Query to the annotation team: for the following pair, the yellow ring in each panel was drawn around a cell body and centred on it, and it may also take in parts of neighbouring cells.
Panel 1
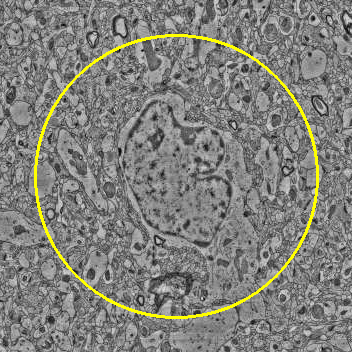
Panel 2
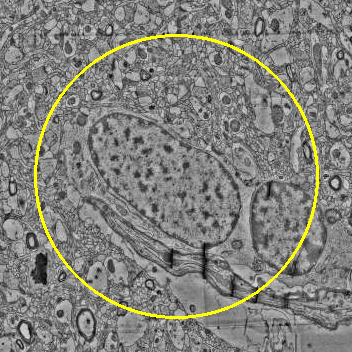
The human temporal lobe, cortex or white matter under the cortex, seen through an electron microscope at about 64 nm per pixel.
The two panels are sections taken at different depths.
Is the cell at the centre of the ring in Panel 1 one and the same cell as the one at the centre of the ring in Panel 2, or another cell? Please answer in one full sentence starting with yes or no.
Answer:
No, within the two rings lie two different cells.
